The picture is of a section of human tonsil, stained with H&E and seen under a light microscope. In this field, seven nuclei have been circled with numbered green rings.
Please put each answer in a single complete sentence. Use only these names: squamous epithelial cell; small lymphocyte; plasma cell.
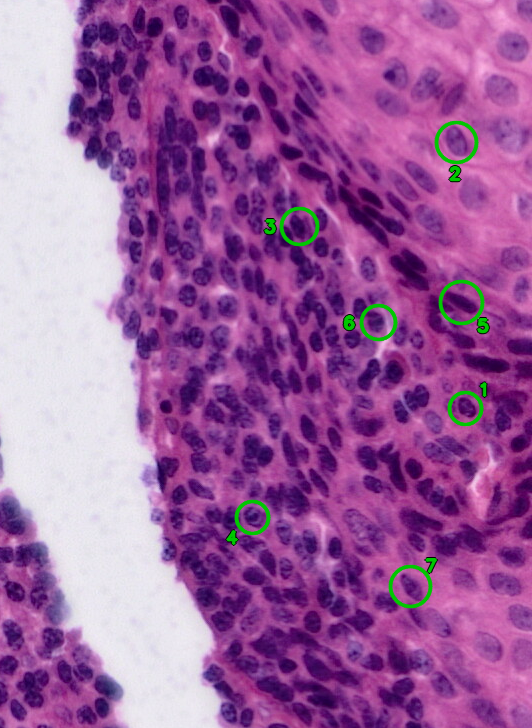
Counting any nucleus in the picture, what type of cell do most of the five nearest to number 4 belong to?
Of the five nuclei nearest to number 4, most belong to squamous epithelial cells.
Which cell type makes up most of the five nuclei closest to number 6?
Most of the five nuclei nearest to number 6 are those of plasma cells.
